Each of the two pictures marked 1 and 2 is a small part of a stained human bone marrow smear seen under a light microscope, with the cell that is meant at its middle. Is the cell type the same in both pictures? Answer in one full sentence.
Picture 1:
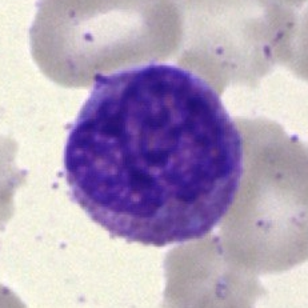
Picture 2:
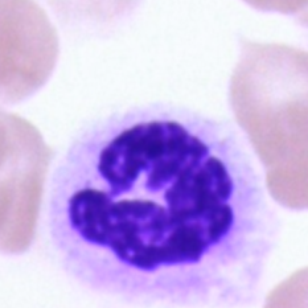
No, the types are not the same, since picture 1 shows an eosinophil and picture 2 a segmented neutrophil.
